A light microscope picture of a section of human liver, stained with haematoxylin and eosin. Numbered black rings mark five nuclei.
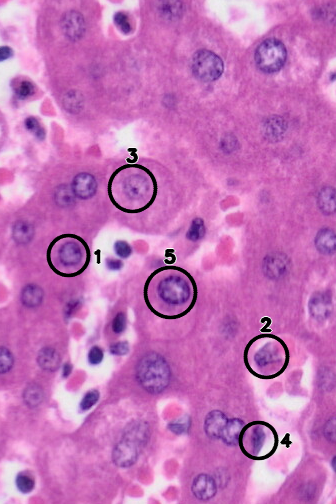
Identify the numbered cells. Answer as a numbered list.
1. hepatocyte
2. Kupffer cell
3. hepatocyte
4. fibroblast or stellate cell
5. hepatocyte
